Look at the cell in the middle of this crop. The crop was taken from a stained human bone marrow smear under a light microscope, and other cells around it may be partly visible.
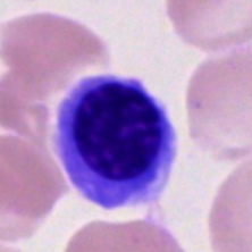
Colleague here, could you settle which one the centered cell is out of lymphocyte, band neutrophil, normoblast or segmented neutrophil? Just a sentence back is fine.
At the middle of the frame sits a normoblast.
